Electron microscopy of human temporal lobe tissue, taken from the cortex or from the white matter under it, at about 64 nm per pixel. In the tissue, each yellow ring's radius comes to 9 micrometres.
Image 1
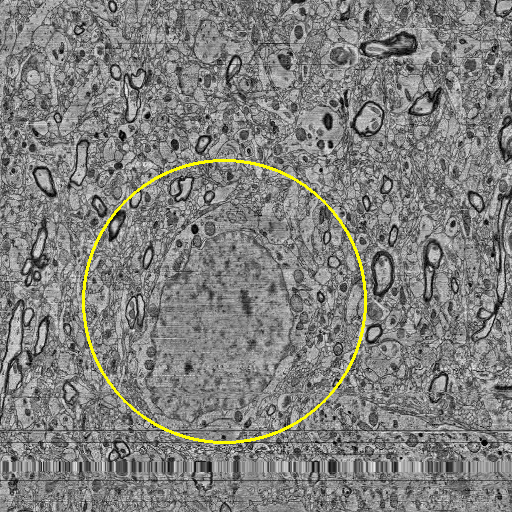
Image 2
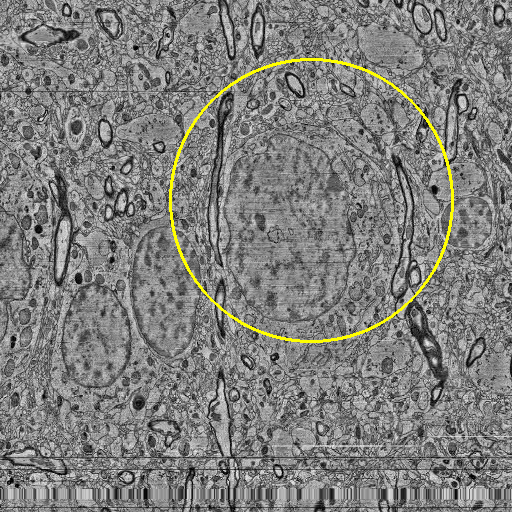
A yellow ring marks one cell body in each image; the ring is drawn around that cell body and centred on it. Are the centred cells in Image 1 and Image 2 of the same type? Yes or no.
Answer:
yes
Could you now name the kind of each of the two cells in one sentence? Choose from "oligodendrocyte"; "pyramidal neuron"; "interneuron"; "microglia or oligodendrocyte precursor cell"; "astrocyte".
Both rings mark an interneuron, one in each picture.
